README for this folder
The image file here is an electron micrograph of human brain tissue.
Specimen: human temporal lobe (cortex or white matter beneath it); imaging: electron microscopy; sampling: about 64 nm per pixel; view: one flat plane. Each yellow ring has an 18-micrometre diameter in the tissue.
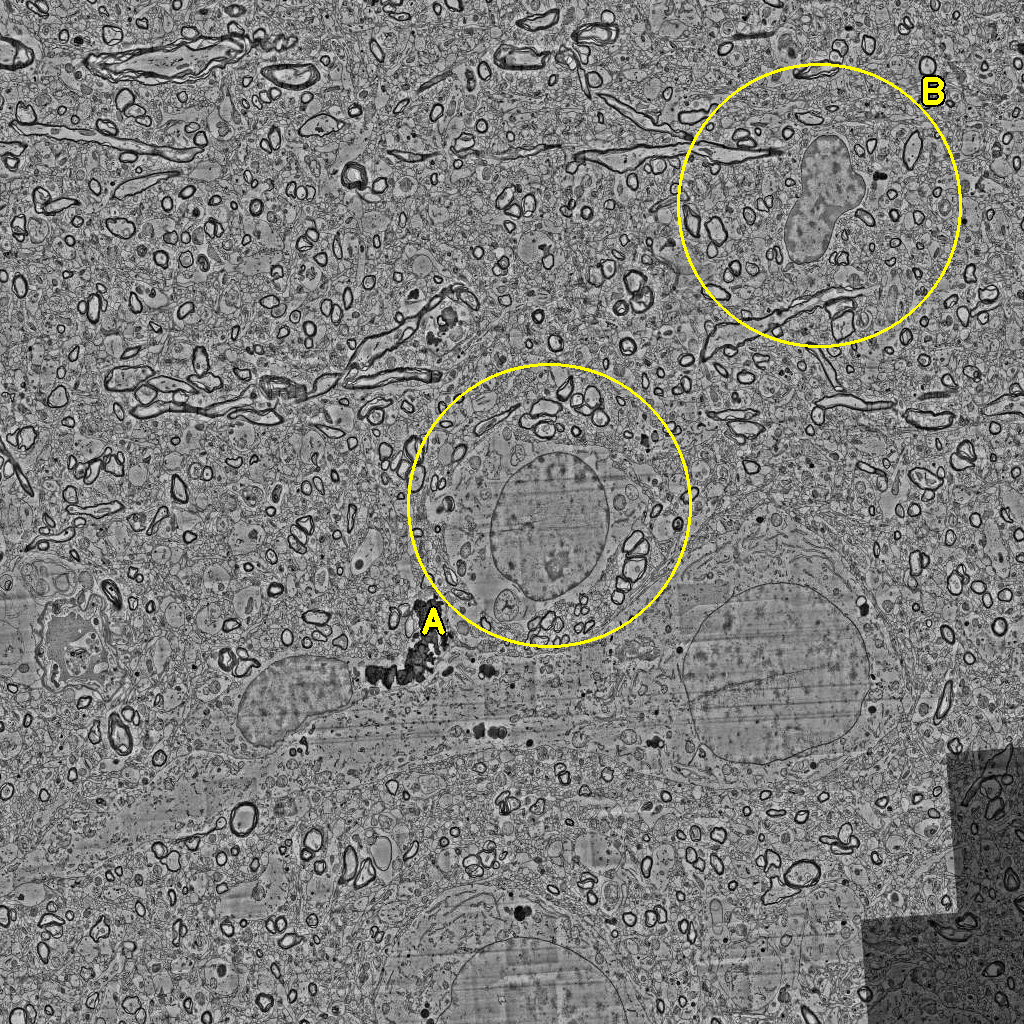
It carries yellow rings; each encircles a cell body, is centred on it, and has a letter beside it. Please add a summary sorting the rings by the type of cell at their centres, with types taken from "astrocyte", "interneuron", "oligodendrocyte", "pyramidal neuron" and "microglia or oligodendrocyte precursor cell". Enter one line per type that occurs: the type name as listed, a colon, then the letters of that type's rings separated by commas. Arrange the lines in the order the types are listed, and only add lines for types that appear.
astrocyte: A
microglia or oligodendrocyte precursor cell: B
